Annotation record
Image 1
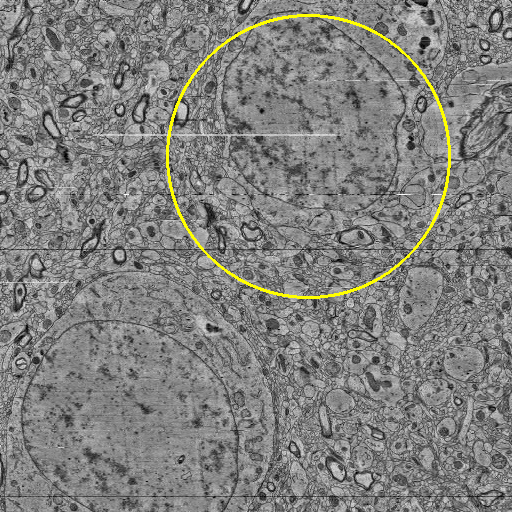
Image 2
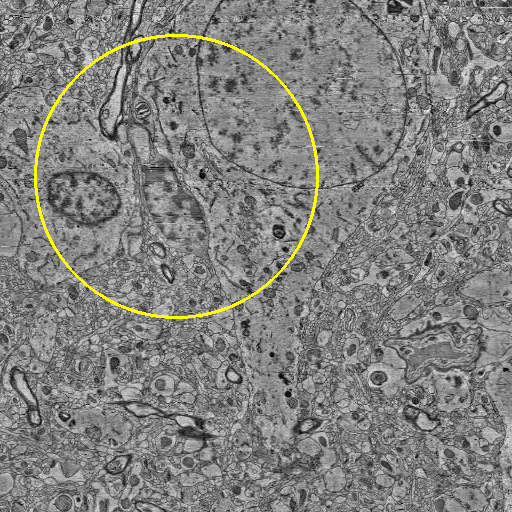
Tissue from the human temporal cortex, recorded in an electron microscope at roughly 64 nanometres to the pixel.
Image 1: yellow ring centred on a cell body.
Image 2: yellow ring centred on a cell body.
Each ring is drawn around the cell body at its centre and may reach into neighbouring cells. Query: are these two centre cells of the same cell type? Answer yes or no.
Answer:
no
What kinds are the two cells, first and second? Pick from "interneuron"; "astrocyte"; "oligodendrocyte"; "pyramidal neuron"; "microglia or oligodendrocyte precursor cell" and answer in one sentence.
The second picture holds an oligodendrocyte in its ring, and the first holds a pyramidal neuron.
